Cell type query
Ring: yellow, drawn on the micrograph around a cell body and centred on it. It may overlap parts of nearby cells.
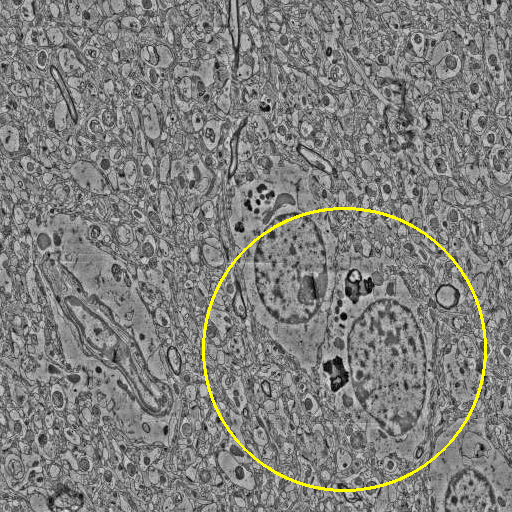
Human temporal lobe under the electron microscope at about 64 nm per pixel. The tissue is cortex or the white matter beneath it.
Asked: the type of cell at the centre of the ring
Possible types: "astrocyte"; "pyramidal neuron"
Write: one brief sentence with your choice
The ring marks an astrocyte.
